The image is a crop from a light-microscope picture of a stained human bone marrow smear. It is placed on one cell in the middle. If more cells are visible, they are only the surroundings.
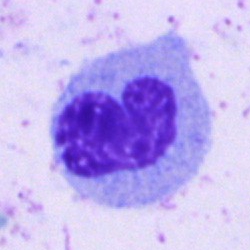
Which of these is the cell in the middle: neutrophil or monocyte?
monocyte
